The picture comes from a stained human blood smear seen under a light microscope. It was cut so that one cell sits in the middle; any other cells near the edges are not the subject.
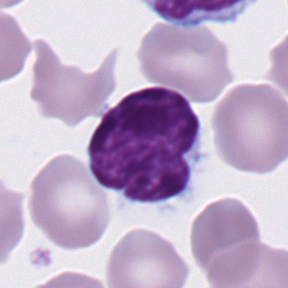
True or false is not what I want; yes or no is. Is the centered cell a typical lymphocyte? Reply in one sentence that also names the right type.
Yes, the cell shown centrally is a typical lymphocyte.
